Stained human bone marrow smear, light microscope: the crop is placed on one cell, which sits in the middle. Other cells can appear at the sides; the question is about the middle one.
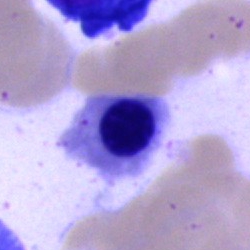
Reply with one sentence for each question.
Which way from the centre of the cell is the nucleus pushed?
The nucleus is pushed toward the upper right of the cell.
